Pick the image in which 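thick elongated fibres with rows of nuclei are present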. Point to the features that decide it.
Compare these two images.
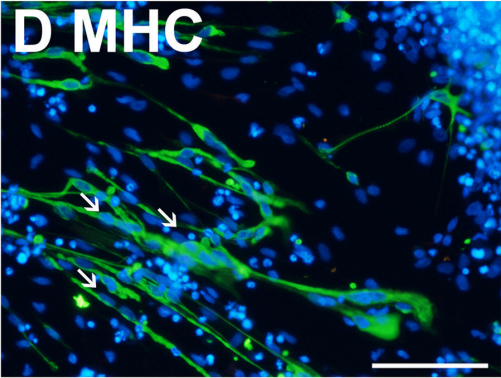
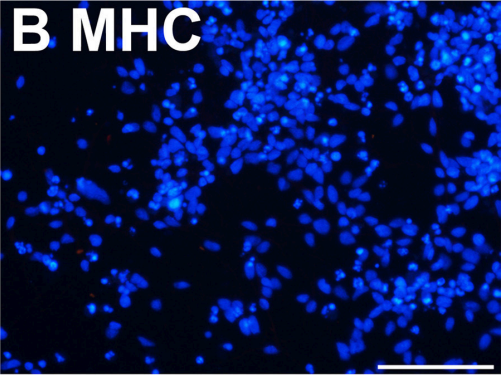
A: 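First image: several thick, long green cells containing rows of nuclei. Second image: only scattered blue nuclei, no green elongated cells.
Answer: the first image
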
